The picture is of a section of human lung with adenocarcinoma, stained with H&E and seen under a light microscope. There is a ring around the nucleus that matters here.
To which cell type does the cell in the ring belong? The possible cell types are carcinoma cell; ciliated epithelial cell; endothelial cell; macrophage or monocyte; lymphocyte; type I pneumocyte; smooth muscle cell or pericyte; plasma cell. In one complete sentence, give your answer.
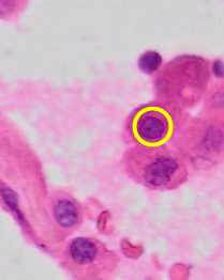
It is as a macrophage or monocyte that the cell in the ring is recorded.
